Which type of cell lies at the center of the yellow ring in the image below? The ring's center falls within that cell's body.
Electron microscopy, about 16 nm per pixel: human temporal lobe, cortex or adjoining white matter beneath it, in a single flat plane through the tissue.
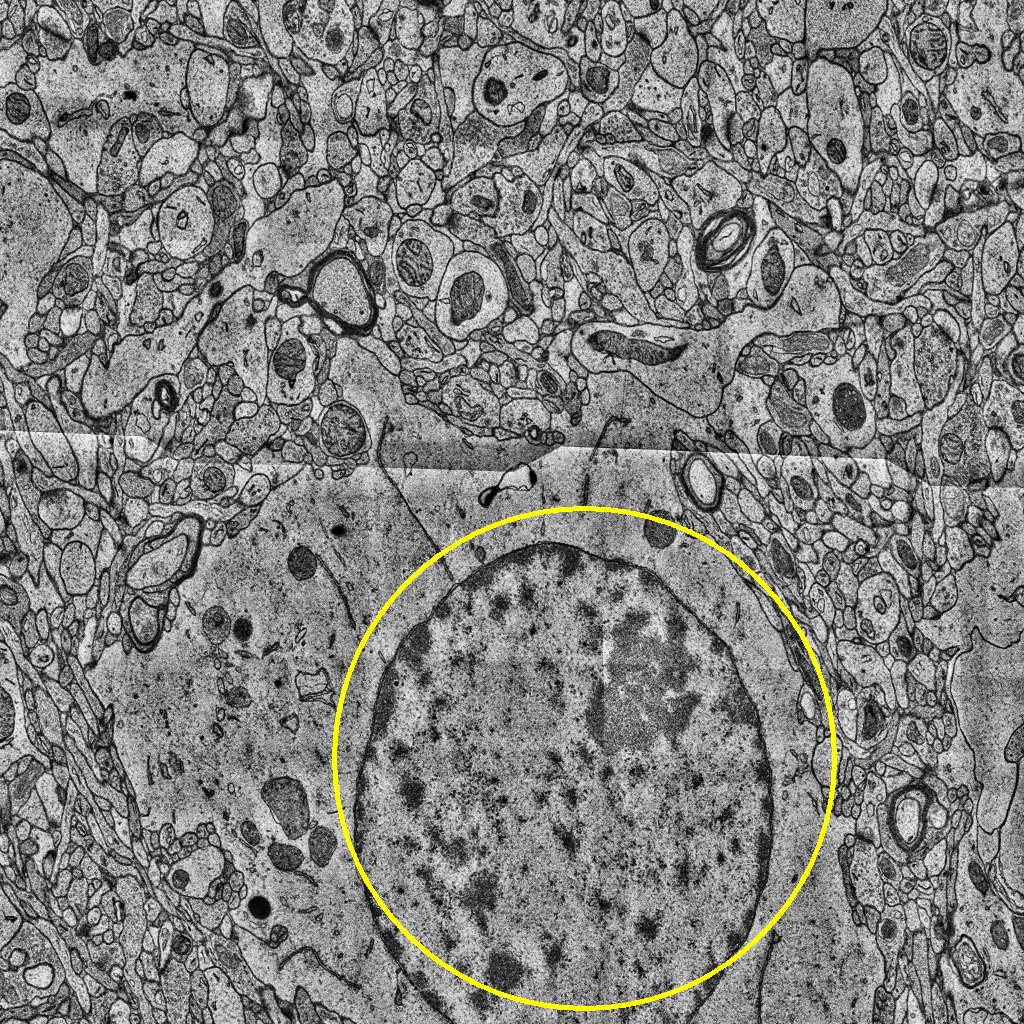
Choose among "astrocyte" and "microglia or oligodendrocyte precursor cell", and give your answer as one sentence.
The cell body at the center belongs to an astrocyte.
